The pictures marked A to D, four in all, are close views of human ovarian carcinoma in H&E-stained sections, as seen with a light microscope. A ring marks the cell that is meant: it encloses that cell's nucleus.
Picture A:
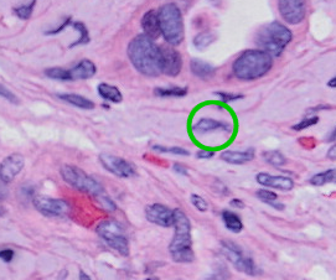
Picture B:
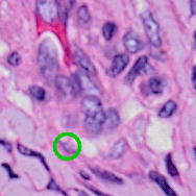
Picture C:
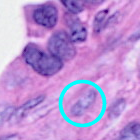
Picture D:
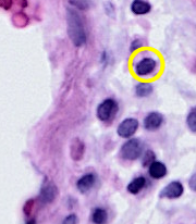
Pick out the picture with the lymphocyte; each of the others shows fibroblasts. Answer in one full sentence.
Picture D is the one that shows the lymphocyte.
